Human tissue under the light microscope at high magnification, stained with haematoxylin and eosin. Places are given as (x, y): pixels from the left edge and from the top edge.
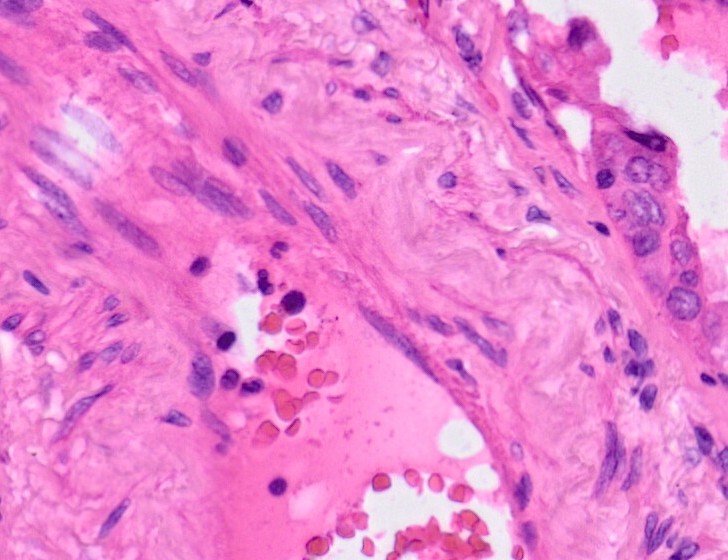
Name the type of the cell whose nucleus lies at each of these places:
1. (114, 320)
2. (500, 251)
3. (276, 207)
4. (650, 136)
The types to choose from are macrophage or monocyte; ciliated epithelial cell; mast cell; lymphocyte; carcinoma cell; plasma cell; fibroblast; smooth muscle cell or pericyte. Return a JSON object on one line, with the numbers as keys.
{"1": "smooth muscle cell or pericyte", "2": "smooth muscle cell or pericyte", "3": "smooth muscle cell or pericyte", "4": "carcinoma cell"}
